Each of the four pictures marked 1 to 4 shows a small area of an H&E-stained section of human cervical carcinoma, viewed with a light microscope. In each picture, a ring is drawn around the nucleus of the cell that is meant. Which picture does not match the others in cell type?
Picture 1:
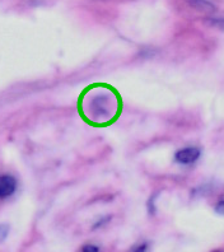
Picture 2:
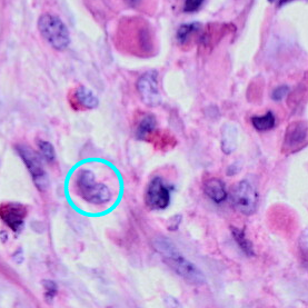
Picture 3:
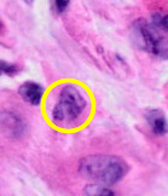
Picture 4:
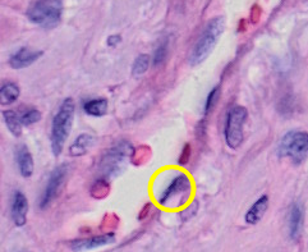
4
